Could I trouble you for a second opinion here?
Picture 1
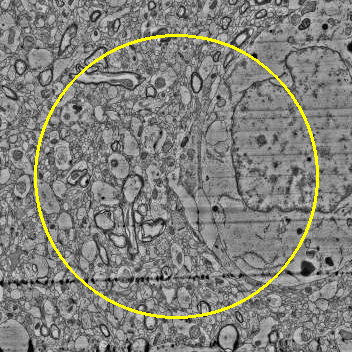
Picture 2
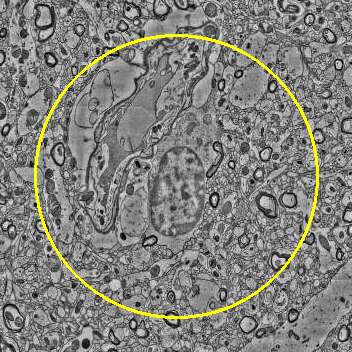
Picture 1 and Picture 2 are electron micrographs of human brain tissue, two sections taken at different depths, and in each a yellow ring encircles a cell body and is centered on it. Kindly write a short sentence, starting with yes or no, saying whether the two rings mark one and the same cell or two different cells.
No, the marked cells are two, not one.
